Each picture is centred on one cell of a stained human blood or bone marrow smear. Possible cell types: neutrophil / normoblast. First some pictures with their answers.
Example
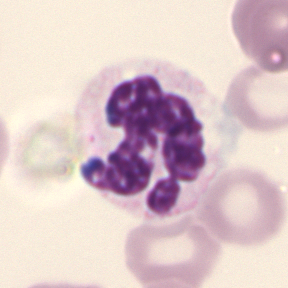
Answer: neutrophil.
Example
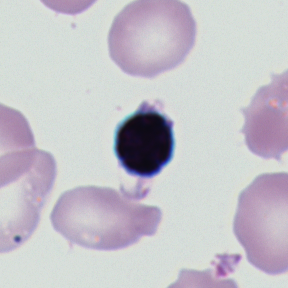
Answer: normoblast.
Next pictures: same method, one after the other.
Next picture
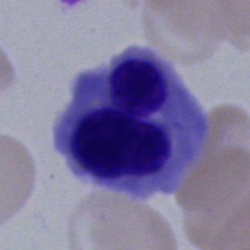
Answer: normoblast.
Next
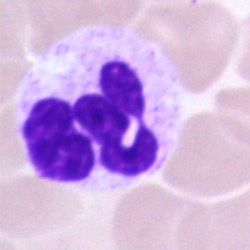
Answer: neutrophil.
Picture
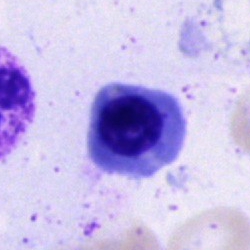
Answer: normoblast.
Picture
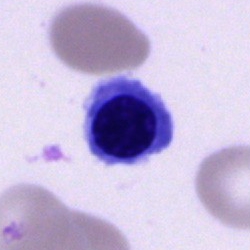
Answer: normoblast.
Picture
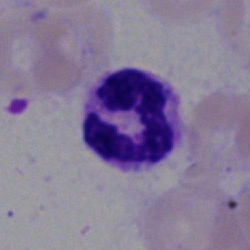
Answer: neutrophil.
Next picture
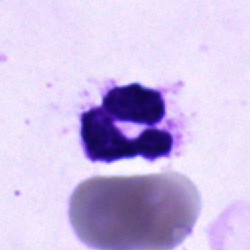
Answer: neutrophil.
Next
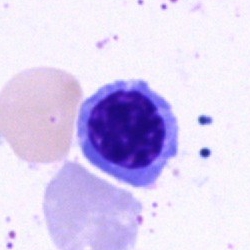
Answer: normoblast.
